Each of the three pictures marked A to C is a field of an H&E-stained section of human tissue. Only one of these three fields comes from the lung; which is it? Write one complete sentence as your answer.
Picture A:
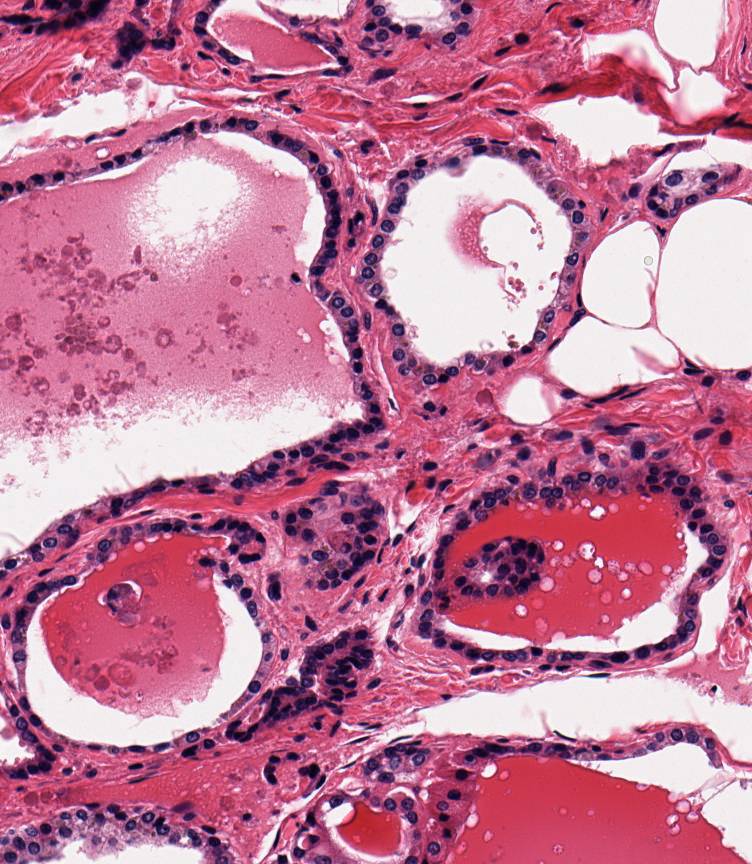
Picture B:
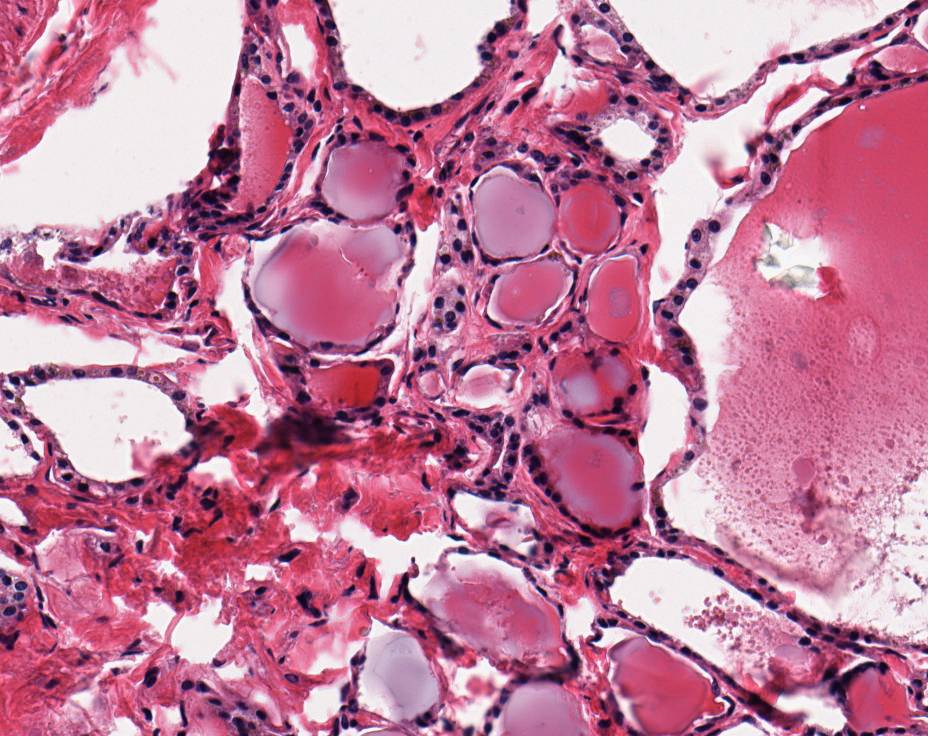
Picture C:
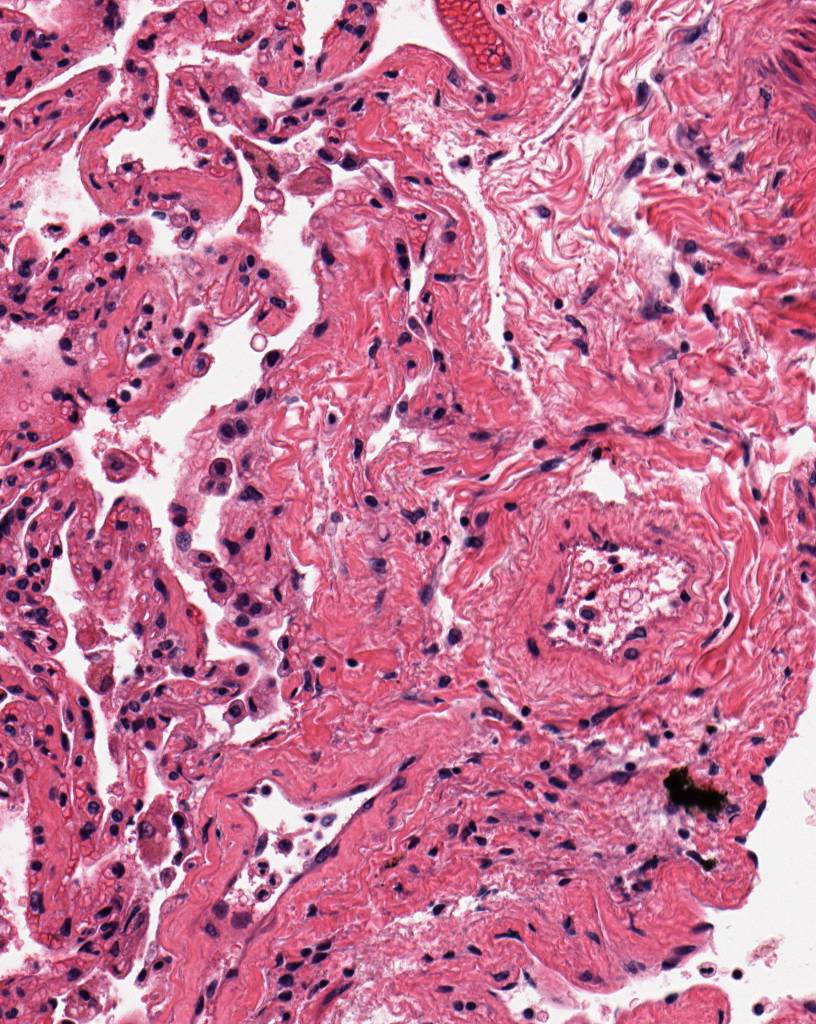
Picture C comes from the lung.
